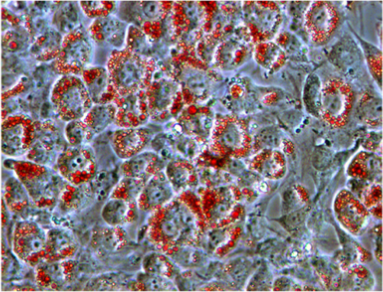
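In many cells the droplets form a ring around a paler central area, which is likely where the nucleus sits. Between these lipid-laden cells lie flatter, greyer cells that hold few or no red droplets, so not every cell in the field has filled with lipid to the same degree.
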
